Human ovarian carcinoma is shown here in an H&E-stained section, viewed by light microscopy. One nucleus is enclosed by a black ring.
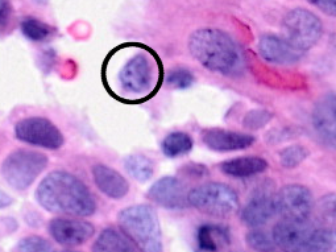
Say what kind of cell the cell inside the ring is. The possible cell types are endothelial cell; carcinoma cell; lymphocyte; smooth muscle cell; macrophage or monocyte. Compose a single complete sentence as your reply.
In this section of tissue, the cell inside the ring is a macrophage or monocyte.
